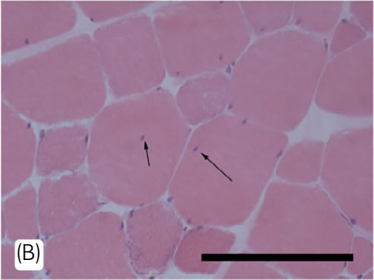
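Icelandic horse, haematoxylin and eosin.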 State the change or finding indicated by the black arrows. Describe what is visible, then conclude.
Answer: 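The arrows point to dark purple nuclei within the interior of pink fibres. Other nuclei lie at the fibre borders.
Hence: Internalised nuclei.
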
